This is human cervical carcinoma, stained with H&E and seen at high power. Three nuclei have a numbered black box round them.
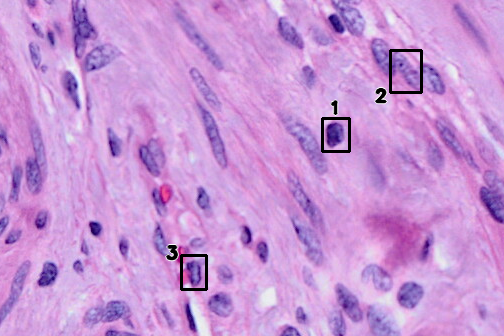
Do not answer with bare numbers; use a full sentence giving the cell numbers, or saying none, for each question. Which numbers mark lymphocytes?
Among the cells marked with numbers, the only one that is a lymphocyte is number 1.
